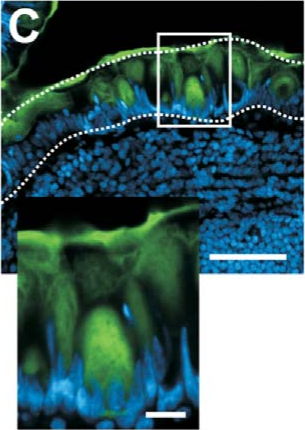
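This is the epithelium covering the dome of a lymphoid follicle in the gut, with scattered goblet cells lit up green. The epithelial layer, bounded by dashed lines, is a single row of tall columnar cells whose elongated blue nuclei sit toward the base. Among them several cells hold large oval, cup-shaped stores of green material above their nuclei, and a green layer also coats the luminal surface. The enlarged inset shows one such cell: a swollen green cup tapering down to a basal nucleus, flanked by slimmer neighbours. Below the epithelium lies a dense field of small round blue nuclei of the follicle.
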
